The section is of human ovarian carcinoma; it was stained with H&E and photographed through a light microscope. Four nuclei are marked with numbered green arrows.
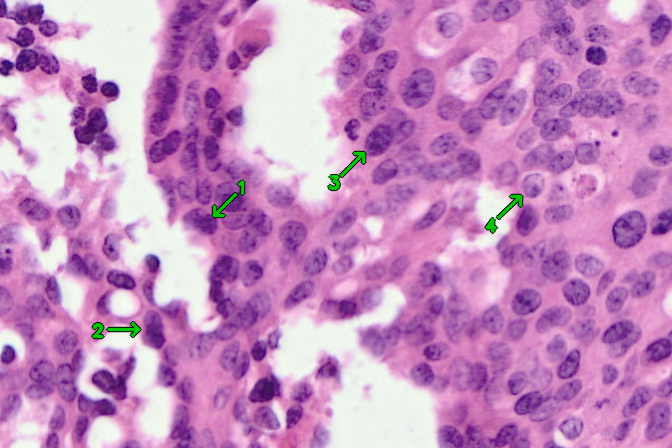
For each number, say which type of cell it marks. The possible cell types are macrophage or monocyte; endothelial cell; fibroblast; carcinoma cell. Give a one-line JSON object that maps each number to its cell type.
{"1": "carcinoma cell", "2": "carcinoma cell", "3": "carcinoma cell", "4": "macrophage or monocyte"}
